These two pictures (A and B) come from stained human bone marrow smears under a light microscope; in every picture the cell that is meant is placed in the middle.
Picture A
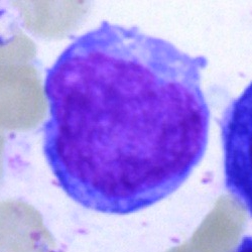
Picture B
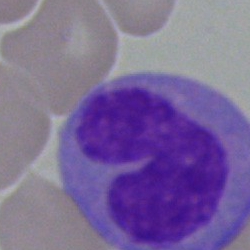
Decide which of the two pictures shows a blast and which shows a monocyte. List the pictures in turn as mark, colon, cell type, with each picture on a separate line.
A: blast
B: monocyte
